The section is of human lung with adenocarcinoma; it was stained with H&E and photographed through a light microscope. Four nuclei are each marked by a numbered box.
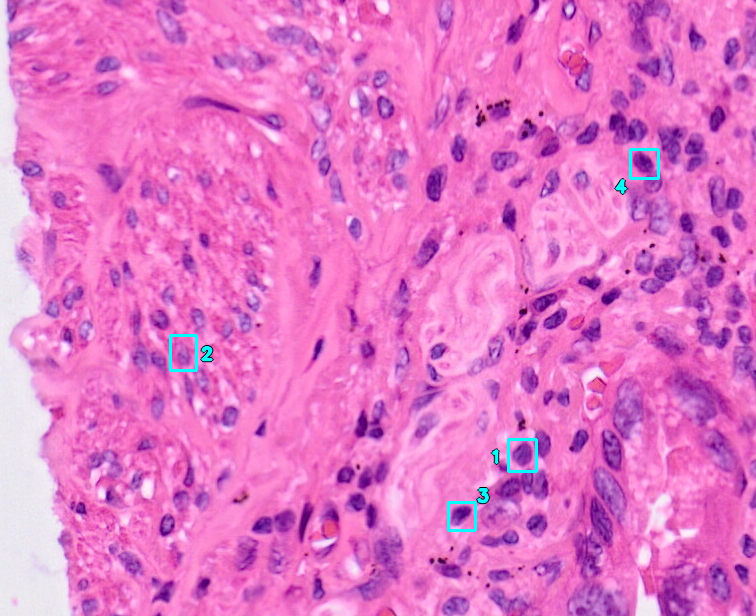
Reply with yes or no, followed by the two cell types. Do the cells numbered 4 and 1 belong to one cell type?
Yes, the two numbered cells 4 and 1 are both lymphocytes.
